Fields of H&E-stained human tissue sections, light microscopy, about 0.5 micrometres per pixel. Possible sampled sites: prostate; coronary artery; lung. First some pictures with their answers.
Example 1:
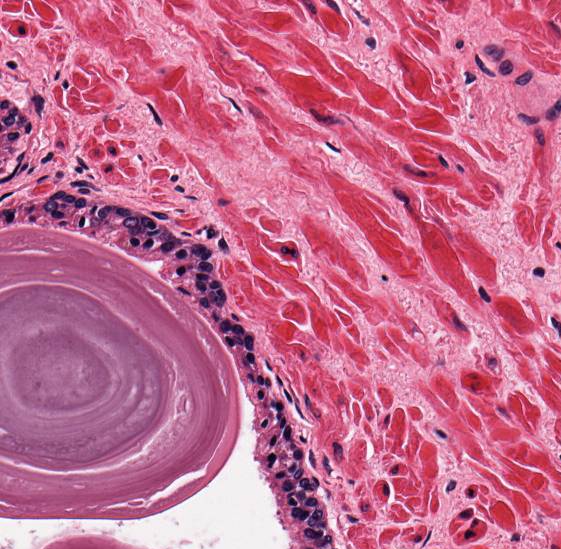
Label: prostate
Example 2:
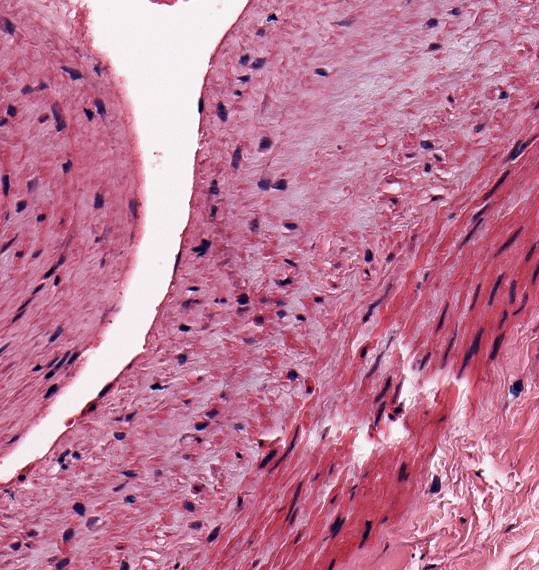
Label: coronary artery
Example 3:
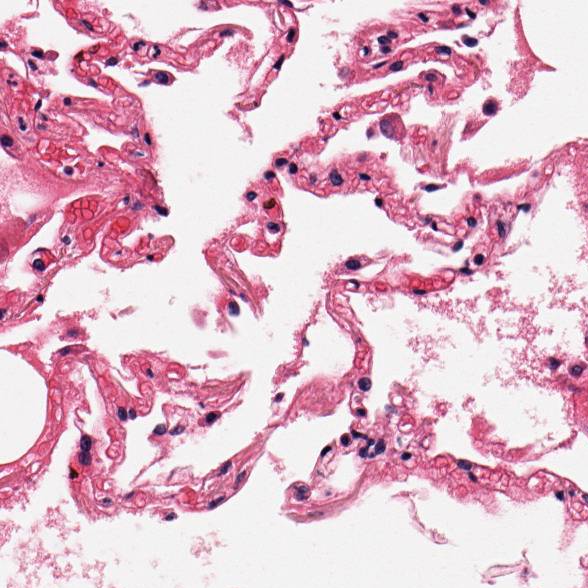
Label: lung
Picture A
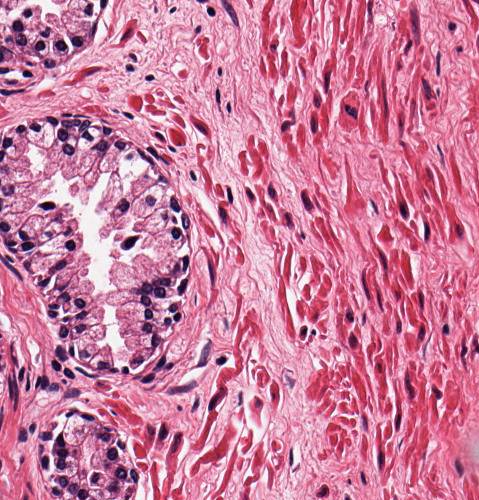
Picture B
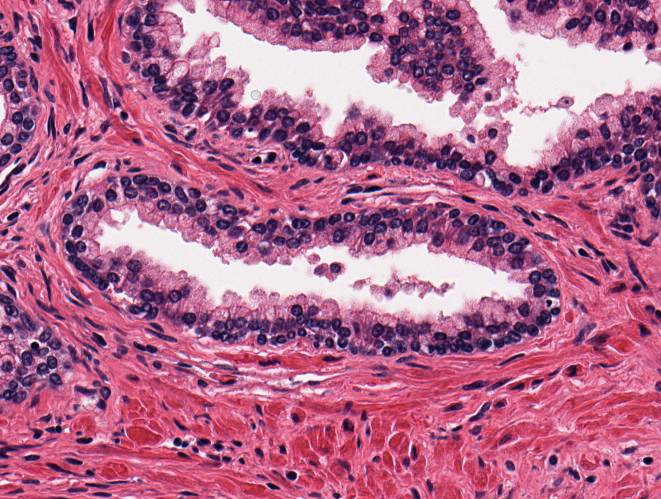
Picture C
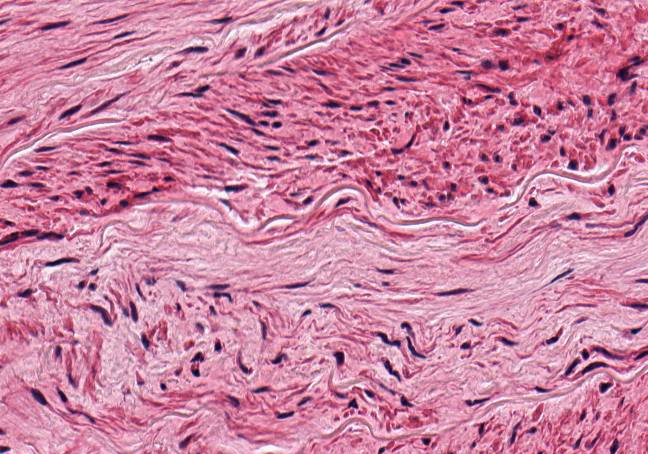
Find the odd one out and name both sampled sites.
C (coronary artery) is the exception; every other picture is prostate.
